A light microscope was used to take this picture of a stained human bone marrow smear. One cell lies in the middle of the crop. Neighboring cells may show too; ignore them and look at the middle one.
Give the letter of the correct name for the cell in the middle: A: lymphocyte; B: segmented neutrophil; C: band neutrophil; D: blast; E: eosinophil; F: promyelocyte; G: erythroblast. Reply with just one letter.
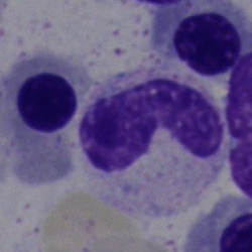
C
